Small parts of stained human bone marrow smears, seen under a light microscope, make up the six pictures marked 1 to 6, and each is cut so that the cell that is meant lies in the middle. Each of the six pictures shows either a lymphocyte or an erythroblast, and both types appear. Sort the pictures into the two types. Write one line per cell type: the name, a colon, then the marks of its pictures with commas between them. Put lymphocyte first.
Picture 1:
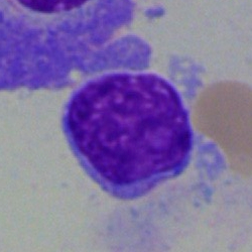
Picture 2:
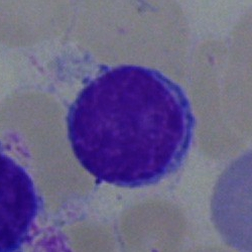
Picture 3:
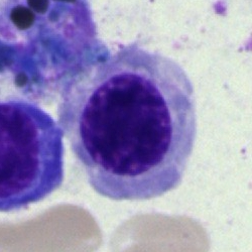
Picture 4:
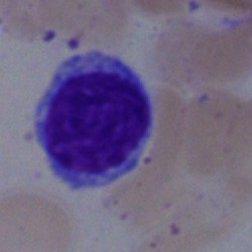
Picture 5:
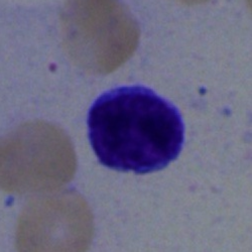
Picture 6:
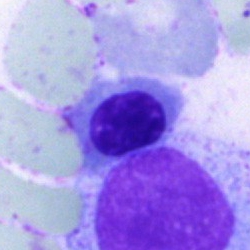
lymphocyte: 1, 2, 4, 5
erythroblast: 3, 6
